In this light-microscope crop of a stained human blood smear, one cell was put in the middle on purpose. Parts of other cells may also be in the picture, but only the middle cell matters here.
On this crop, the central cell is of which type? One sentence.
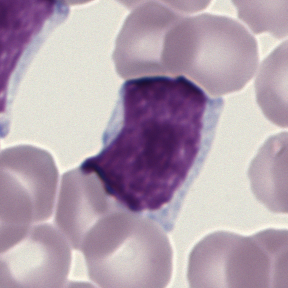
The cell sitting right in the middle is a typical lymphocyte.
